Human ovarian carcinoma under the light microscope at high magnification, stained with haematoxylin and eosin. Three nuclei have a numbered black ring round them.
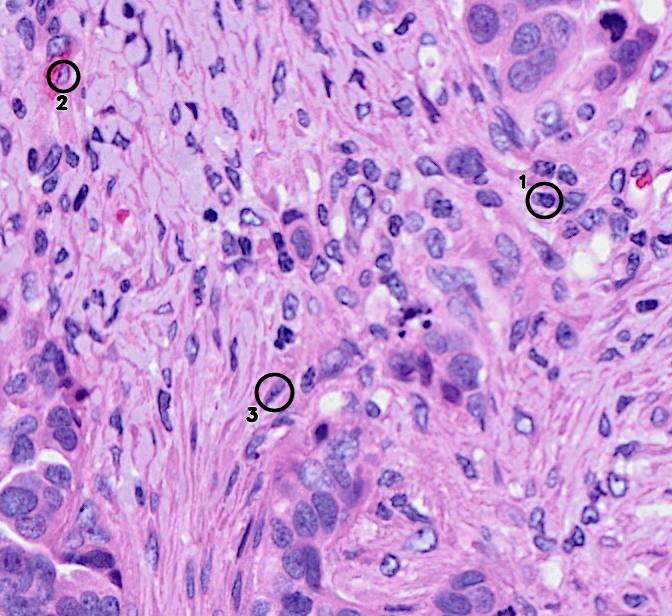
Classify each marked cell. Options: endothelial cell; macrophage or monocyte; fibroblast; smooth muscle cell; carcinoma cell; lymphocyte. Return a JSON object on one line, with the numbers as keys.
{"1": "lymphocyte", "2": "endothelial cell", "3": "fibroblast"}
